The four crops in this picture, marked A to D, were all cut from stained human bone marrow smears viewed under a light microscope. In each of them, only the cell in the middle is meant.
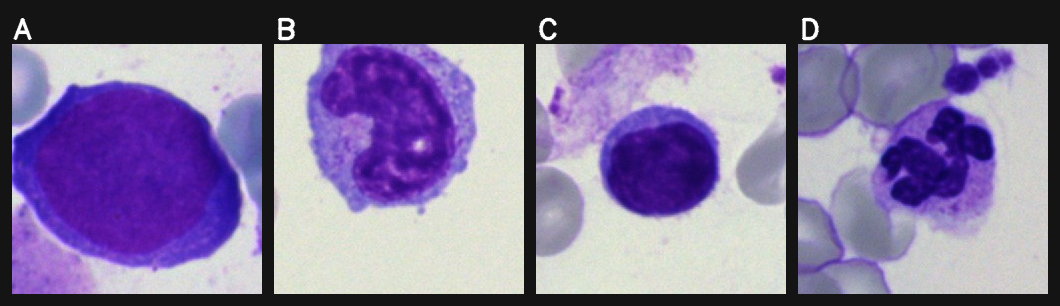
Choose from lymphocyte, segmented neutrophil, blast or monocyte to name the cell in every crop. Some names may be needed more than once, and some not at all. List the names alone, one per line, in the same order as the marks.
blast
monocyte
lymphocyte
segmented neutrophil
